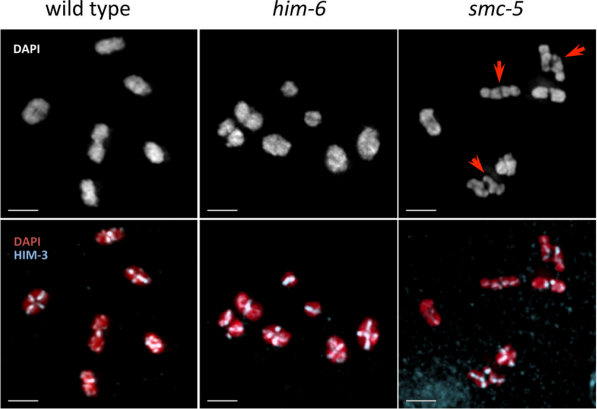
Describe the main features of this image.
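These are oocyte nuclei at diakinesis, where the paired homologous chromosomes have condensed into separate bivalents. In most images the DNA forms about six small, compact, rounded or cross-shaped bodies spread apart from each other. In one set of images some bodies are stretched and lumpy, with lobes strung out in a row, marking bivalents that have not compacted well compared with the tight, rounded bodies elsewhere.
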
